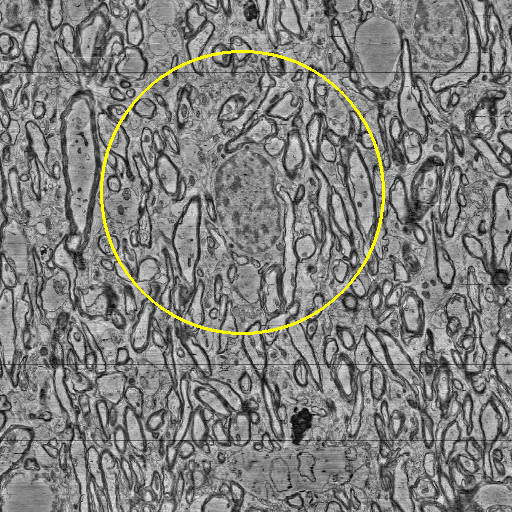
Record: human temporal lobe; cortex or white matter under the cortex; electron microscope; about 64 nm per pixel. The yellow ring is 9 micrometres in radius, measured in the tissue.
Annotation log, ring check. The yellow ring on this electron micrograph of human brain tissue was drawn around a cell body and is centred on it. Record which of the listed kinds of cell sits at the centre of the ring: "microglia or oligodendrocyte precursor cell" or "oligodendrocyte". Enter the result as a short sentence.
The cell at the centre of the ring is an oligodendrocyte.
